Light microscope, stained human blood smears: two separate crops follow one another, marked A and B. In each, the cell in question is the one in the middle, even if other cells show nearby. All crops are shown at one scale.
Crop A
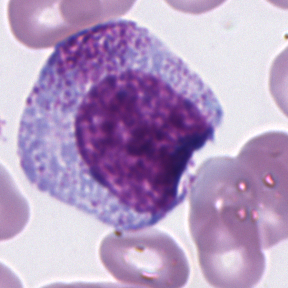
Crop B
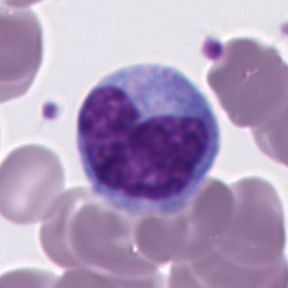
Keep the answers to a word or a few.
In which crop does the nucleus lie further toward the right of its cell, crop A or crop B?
A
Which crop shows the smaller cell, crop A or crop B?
B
